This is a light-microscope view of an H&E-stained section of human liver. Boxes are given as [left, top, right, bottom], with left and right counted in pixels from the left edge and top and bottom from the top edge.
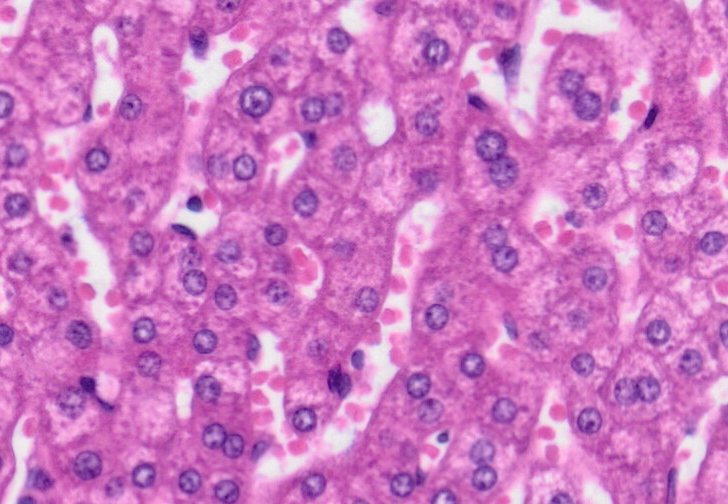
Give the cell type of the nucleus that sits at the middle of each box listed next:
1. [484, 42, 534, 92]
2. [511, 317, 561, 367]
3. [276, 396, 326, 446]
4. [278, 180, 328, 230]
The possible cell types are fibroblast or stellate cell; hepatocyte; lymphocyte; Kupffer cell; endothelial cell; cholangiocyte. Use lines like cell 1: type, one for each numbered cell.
cell 1: Kupffer cell
cell 2: hepatocyte
cell 3: hepatocyte
cell 4: hepatocyte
